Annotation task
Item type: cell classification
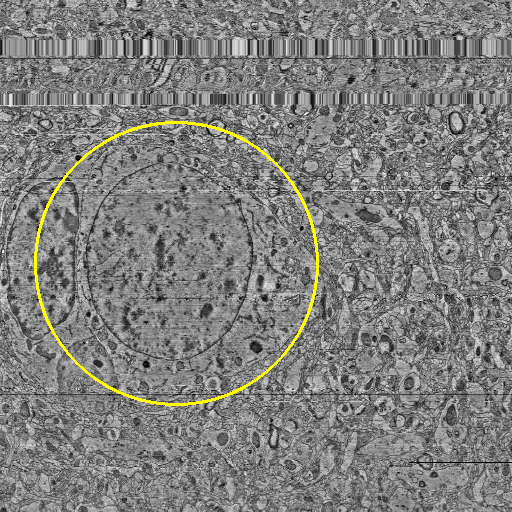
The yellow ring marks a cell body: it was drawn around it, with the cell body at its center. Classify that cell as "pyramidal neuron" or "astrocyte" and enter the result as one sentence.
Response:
The ring's center falls on a pyramidal neuron.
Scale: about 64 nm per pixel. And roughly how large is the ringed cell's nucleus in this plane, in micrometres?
Approximately 13 by 11 micrometers in this plane.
